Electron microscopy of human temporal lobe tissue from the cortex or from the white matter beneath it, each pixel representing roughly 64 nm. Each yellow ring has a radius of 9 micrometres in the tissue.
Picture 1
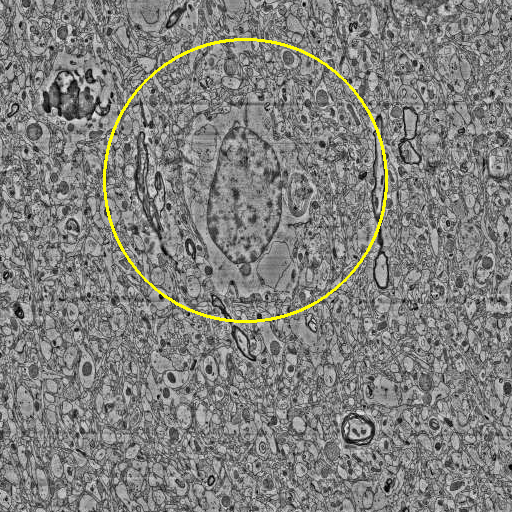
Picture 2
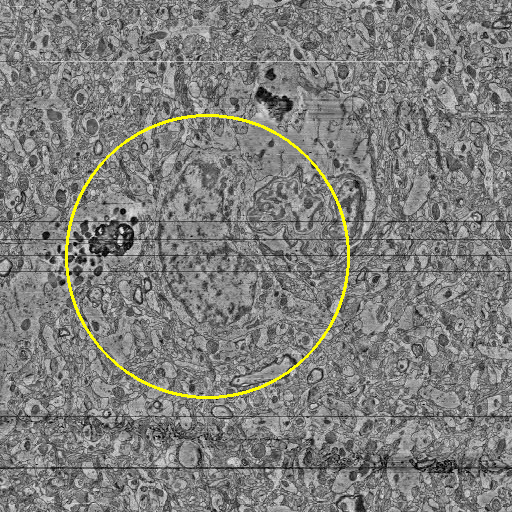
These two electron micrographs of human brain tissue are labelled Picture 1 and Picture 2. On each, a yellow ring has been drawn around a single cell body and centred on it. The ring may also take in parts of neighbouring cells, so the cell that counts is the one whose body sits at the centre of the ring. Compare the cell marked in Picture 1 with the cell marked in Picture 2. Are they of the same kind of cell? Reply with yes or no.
no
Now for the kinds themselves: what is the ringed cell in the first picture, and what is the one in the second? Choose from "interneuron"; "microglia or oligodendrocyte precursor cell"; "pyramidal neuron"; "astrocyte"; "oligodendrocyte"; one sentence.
Here the first cell is an astrocyte and the second cell is an interneuron.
